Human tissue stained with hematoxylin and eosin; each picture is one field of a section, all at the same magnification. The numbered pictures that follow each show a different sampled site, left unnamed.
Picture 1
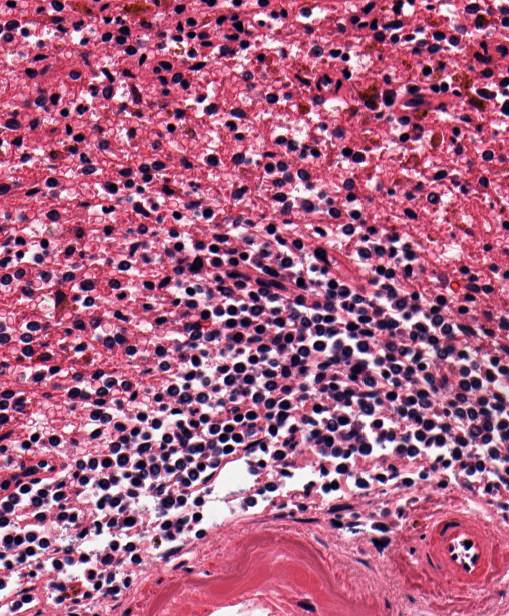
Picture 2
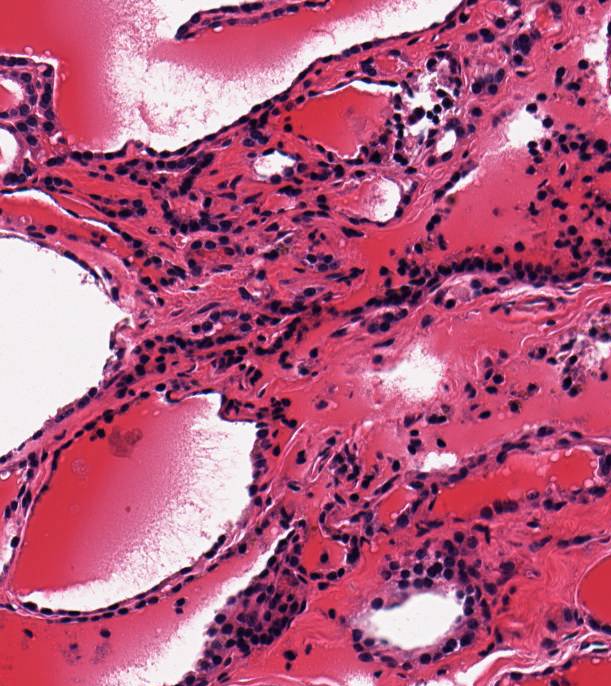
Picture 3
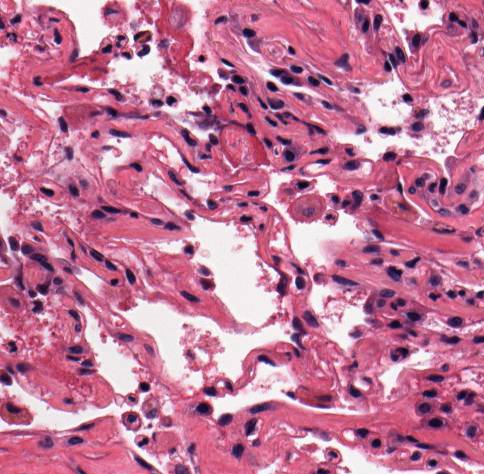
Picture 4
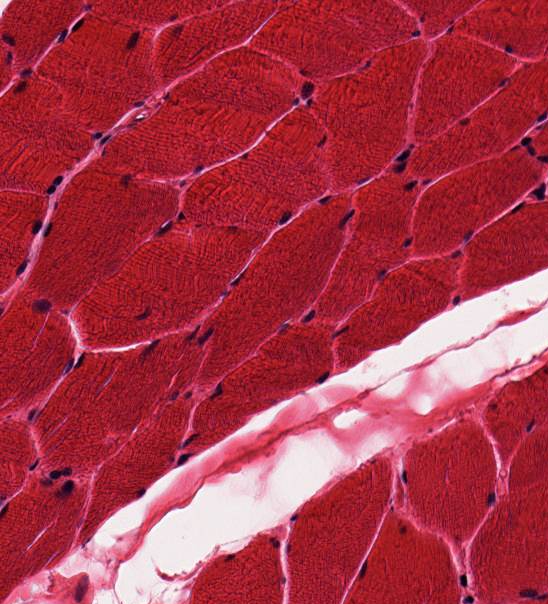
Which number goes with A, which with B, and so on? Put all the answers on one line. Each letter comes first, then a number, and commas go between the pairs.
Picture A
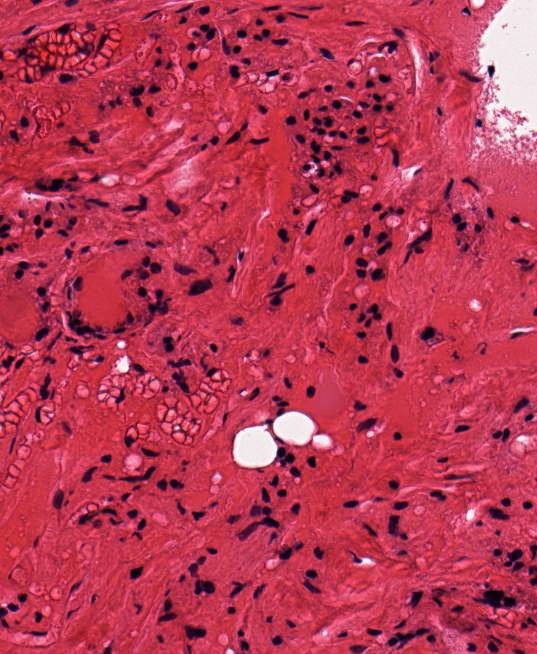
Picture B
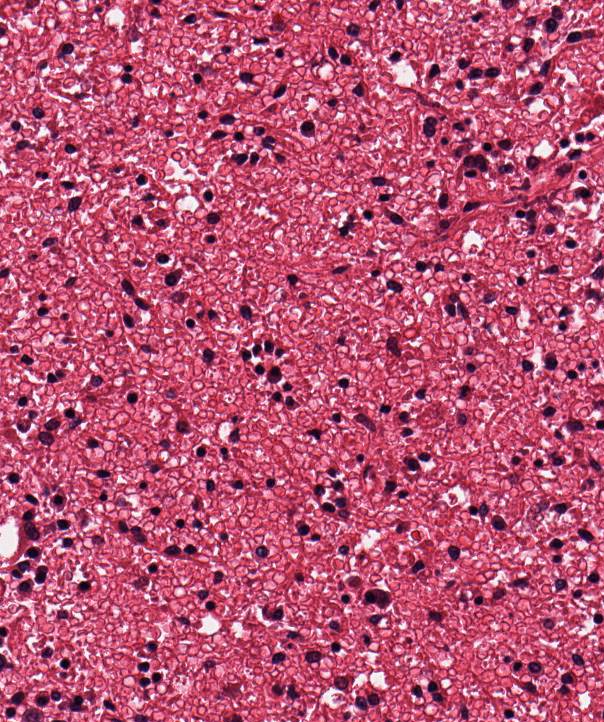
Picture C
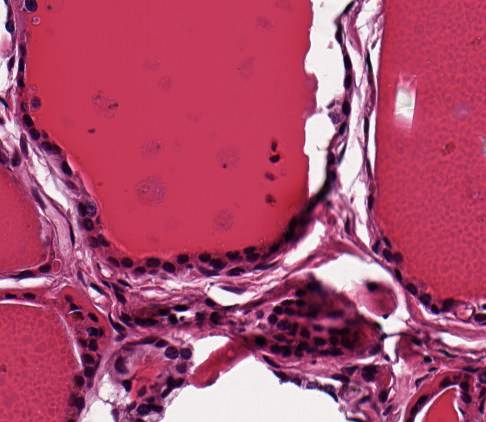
A 2, B 1, C 2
